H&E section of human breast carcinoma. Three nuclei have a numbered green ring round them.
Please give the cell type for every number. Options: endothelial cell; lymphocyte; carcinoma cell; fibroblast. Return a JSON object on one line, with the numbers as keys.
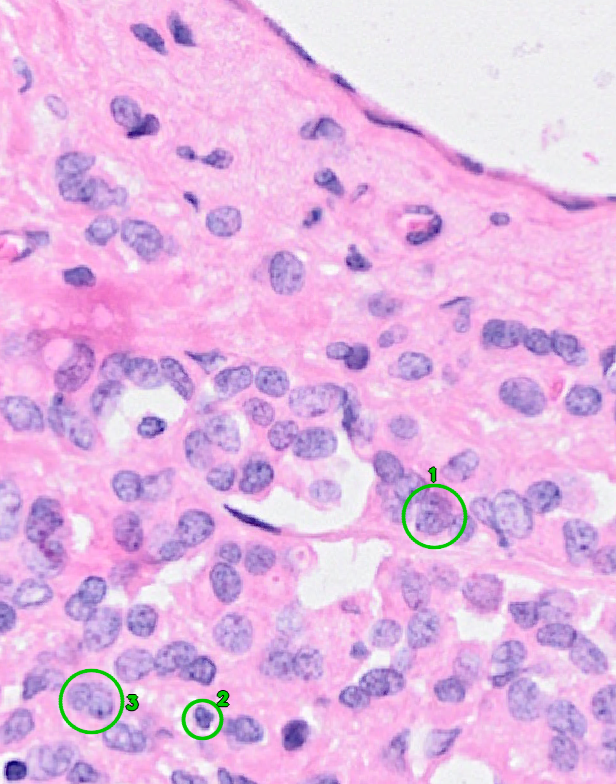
{"1": "carcinoma cell", "2": "lymphocyte", "3": "carcinoma cell"}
